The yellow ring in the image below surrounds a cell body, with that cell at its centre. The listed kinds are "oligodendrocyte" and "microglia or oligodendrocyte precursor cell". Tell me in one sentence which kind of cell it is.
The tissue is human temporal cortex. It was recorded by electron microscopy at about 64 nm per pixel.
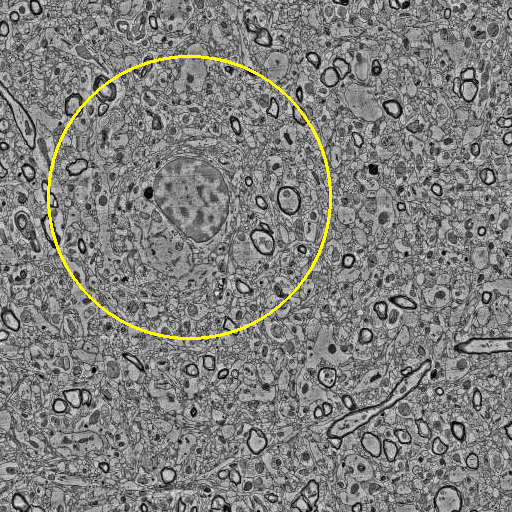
The centre of the ring holds a microglial cell or oligodendrocyte precursor cell.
